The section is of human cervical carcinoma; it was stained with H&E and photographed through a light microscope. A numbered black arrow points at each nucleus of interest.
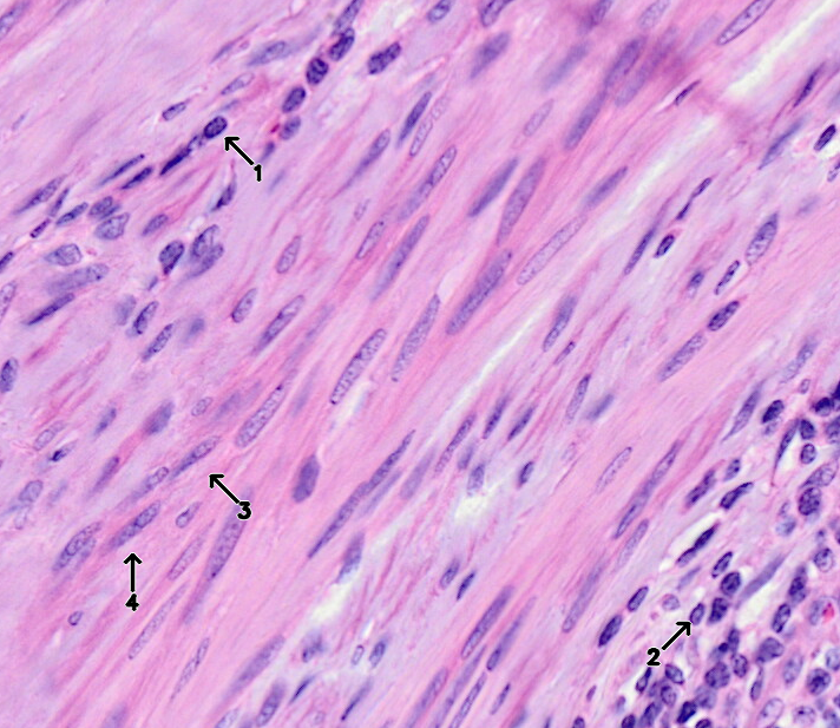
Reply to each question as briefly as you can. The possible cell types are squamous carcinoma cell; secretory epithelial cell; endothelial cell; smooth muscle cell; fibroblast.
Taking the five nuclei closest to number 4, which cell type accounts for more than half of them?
smooth muscle cell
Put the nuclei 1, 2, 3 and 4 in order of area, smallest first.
2, 1, 3, 4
